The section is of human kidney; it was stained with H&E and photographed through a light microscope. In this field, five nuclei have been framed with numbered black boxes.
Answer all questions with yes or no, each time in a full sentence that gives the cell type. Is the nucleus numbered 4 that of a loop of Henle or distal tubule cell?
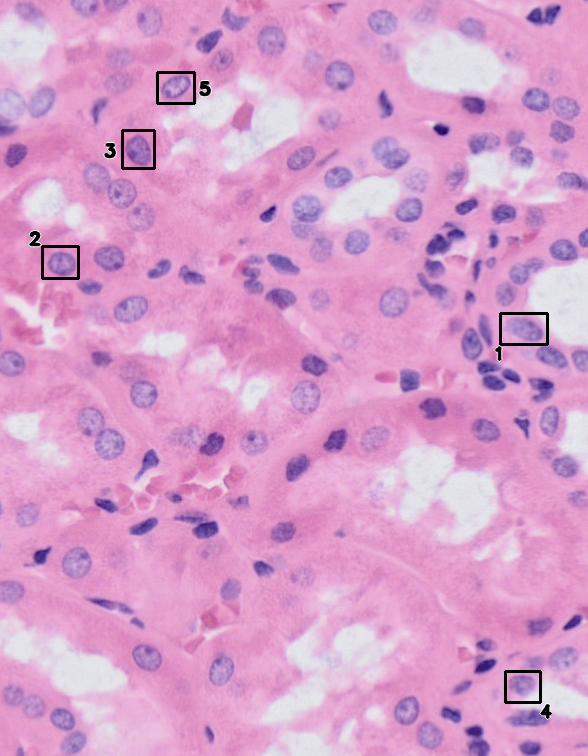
Yes, the cell with the mark numbered 4 is a loop of Henle or distal tubule cell.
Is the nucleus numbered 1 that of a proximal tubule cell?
No, it is a collecting duct cell that is marked with number 1, not a proximal tubule cell.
